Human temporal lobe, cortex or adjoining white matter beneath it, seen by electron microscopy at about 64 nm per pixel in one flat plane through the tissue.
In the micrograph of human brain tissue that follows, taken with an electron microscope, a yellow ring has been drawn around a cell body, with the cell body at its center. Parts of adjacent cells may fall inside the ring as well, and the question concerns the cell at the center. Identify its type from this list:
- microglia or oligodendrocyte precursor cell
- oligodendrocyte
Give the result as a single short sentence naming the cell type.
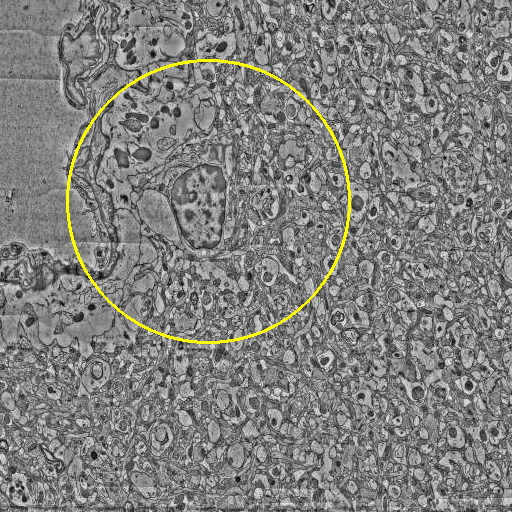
The ring is centered on a microglial cell or oligodendrocyte precursor cell.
